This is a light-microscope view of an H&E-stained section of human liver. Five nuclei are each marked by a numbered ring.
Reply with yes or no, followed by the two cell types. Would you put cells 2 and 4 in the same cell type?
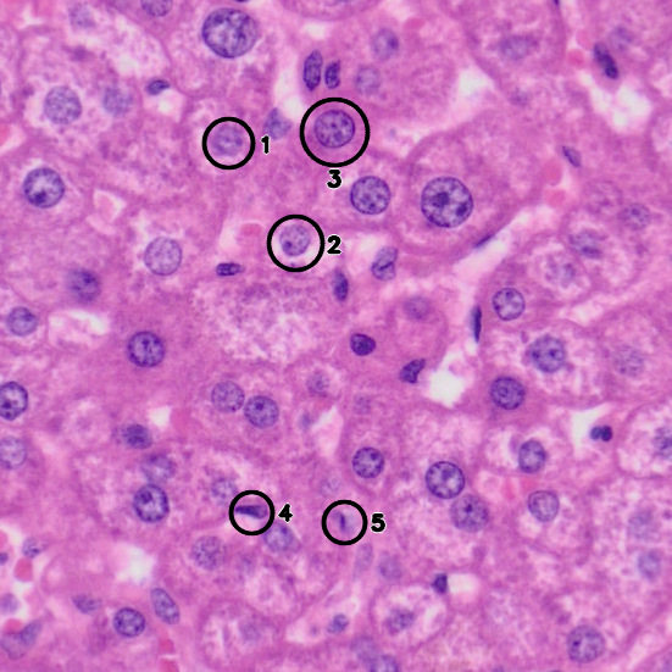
No; cell 2 is a hepatocyte, whereas cell 4 is an endothelial cell.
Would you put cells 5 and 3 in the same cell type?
No, what is marked as cell 5 is an endothelial cell, and what is marked as cell 3 is a hepatocyte.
